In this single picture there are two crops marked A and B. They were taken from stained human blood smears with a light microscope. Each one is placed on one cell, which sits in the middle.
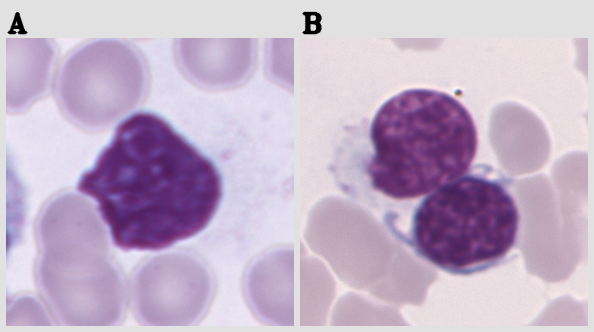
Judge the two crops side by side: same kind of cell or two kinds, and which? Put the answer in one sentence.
No, a smudge cell is centred in crop A, and a myeloblast is centred in crop B.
